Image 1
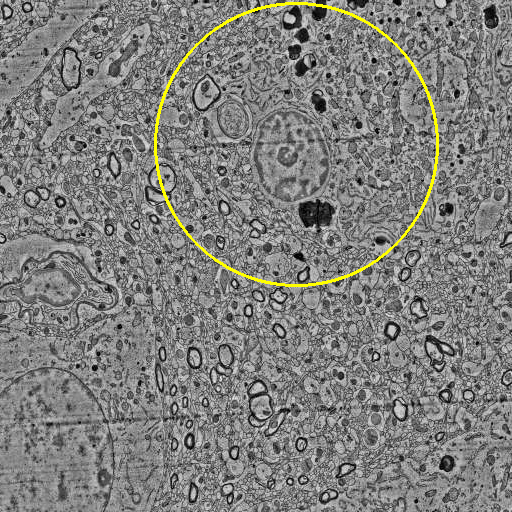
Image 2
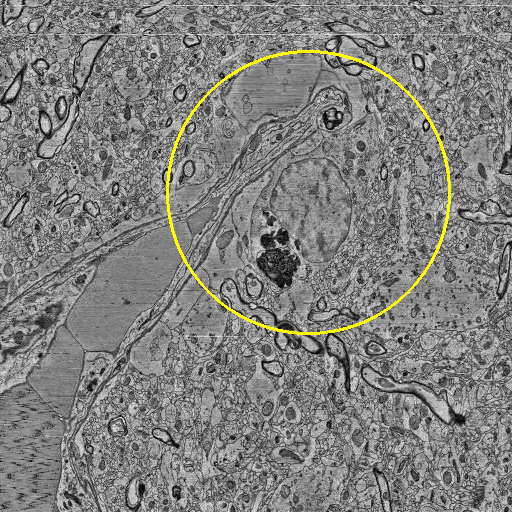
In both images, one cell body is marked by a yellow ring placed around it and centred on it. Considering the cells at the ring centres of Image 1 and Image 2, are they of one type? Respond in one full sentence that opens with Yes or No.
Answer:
Yes, a single type applies to the ring-centred cells of both Image 1 and Image 2.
